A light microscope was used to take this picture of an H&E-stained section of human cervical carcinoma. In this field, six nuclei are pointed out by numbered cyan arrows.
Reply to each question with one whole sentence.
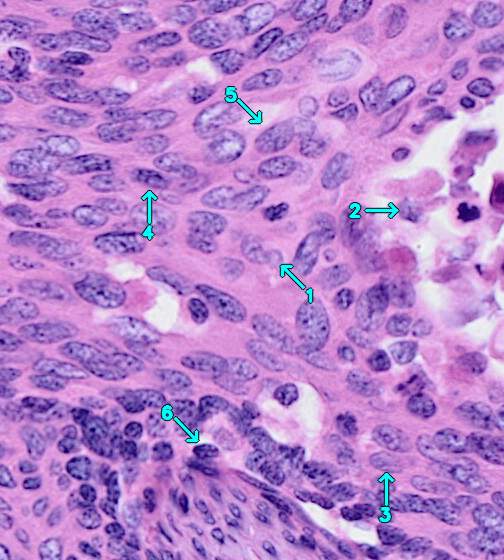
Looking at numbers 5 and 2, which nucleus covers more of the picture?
It is nucleus 5, which covers about 2 times the area of nucleus 2.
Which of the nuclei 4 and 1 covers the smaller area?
It is nucleus 1; nucleus 4 has about 2 times its area.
